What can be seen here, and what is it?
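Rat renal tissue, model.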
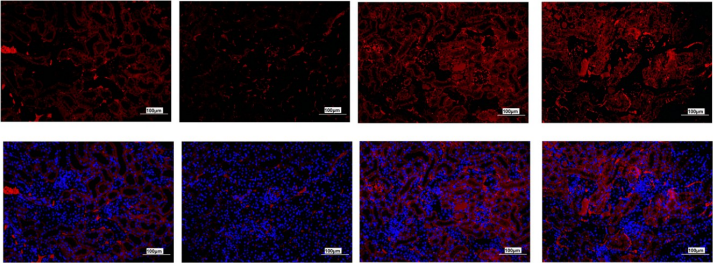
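Kidney tissue is shown in eight fields in two rows of four. The top row shows the red channel alone. The bottom row merges the red with blue nuclei. Red intensity differs between columns. The second column is faintest, with sparse dim tubular outlines. The first is moderate. The third and fourth are the brightest, with dense red patches across tubule walls. The nuclear density is similar in all fields, with clusters of nuclei in interstitial or glomerular areas.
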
